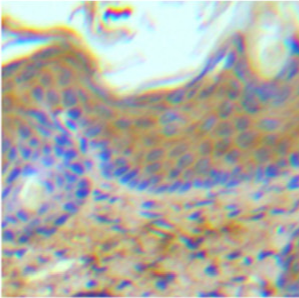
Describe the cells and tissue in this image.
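This is skin with a markedly thickened, stratified epidermis of many layers of closely packed keratinocytes over the dermis. Beneath the epidermis the dermis contains spindle-shaped cells among brown-tinged fibres, and hair follicles are cut in cross section as rings of epithelial cells around a pale central shaft.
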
